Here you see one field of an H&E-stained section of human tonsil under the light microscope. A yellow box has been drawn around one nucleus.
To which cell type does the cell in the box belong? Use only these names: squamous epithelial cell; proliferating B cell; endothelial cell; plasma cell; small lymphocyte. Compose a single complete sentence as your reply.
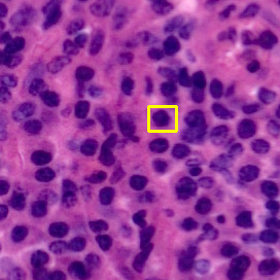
In short, the cell in the box on this section is a plasma cell.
